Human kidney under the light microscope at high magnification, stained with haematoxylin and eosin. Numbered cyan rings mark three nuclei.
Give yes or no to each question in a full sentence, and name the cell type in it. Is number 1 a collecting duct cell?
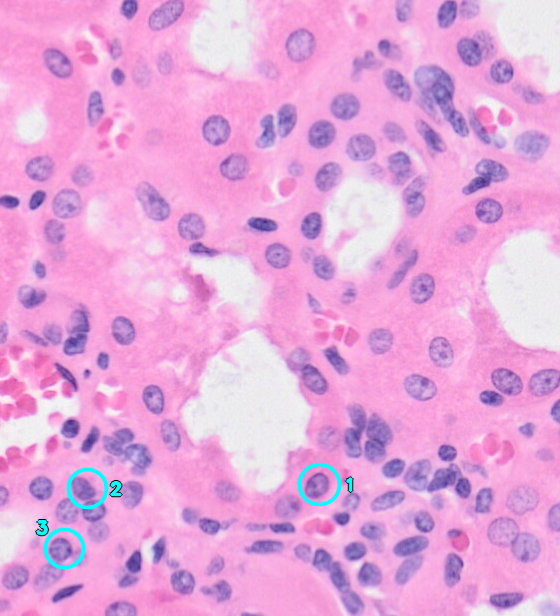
No, cell number 1 is a proximal tubule cell; it is not a collecting duct cell.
